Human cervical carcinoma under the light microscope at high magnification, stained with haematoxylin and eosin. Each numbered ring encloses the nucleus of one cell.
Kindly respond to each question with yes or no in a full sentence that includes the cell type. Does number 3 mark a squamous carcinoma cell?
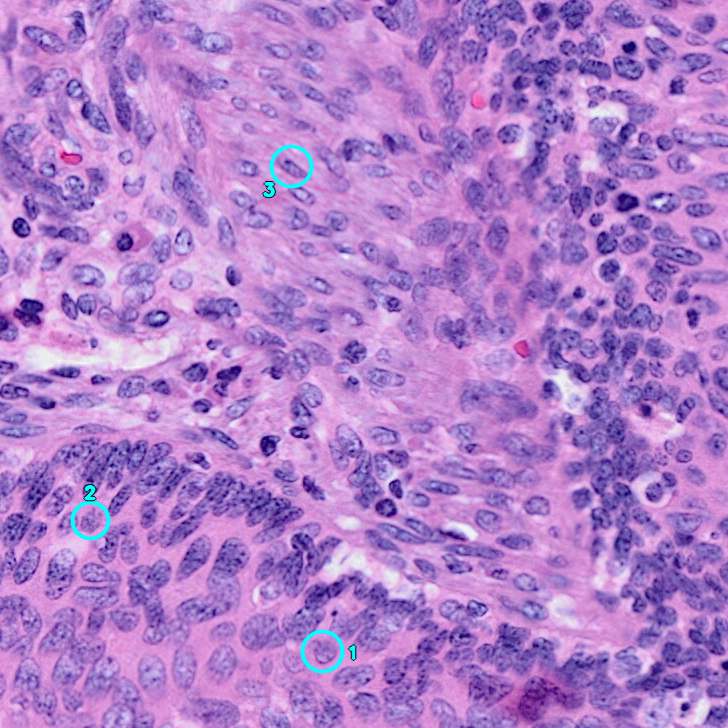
No, cell 3 isn't a squamous carcinoma cell; it's a smooth muscle cell.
